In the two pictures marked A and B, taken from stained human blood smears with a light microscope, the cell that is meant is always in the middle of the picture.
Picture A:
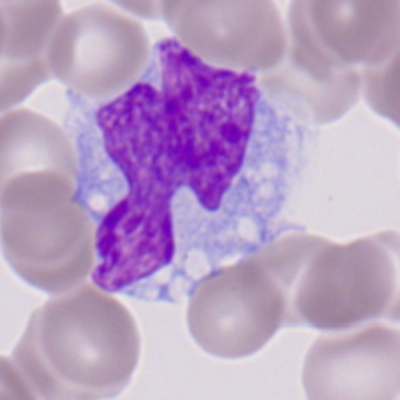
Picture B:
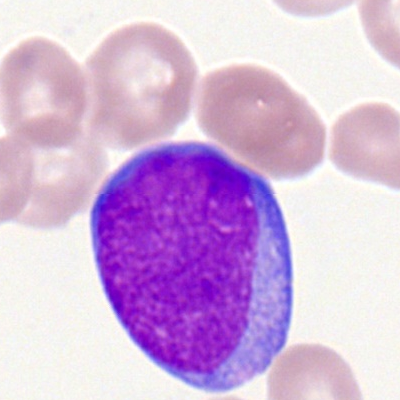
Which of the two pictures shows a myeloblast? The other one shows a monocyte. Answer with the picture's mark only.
B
